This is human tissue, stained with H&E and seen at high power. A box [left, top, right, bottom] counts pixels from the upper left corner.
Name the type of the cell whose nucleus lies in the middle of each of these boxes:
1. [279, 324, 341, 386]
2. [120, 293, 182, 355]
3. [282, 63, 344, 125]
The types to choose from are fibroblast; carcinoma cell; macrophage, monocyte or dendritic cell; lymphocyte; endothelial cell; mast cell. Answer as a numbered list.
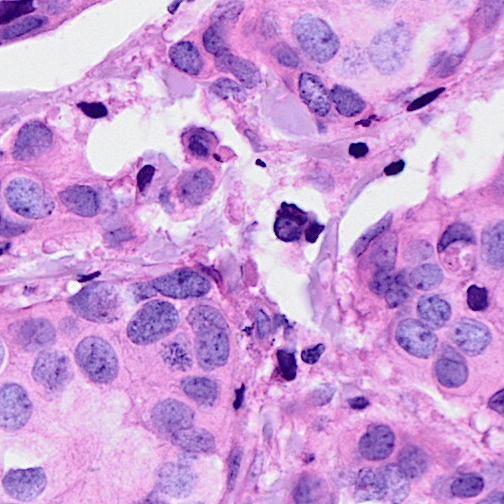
1. lymphocyte
2. carcinoma cell
3. carcinoma cell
